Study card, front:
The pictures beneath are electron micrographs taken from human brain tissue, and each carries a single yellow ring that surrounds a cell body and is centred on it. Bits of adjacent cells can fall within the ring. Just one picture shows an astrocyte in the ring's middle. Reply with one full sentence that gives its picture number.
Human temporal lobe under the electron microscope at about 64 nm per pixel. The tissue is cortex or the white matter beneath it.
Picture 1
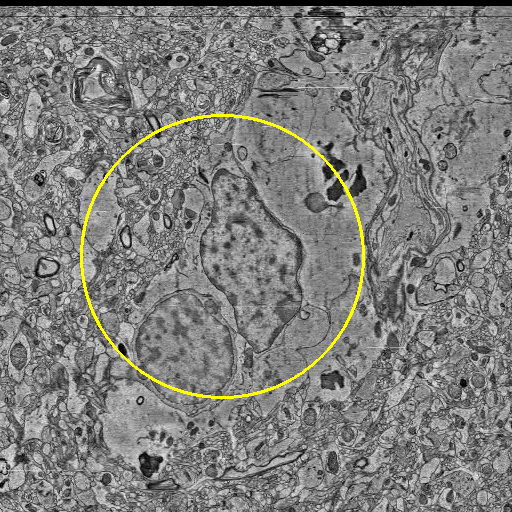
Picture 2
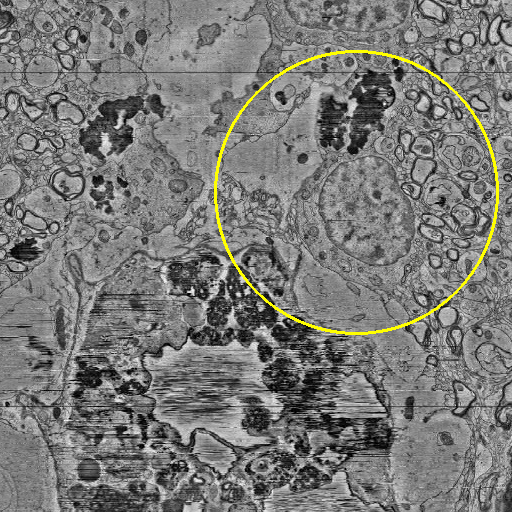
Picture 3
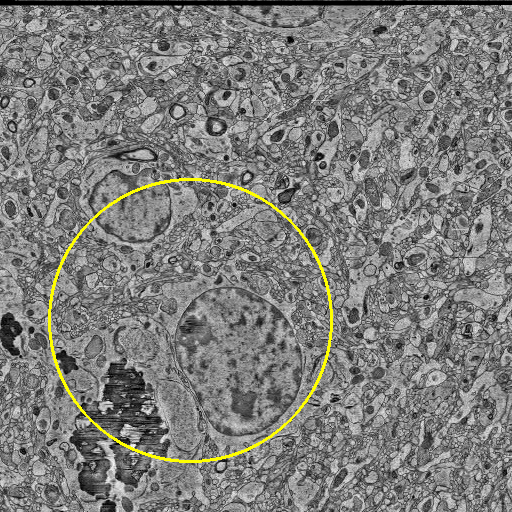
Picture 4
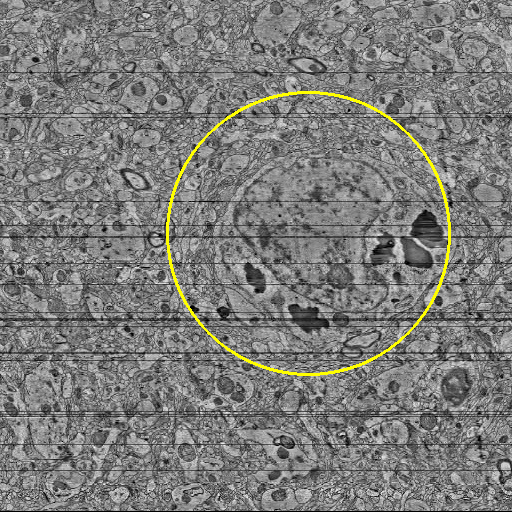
Picture 3 is the one whose ring has the requested cell at its centre.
